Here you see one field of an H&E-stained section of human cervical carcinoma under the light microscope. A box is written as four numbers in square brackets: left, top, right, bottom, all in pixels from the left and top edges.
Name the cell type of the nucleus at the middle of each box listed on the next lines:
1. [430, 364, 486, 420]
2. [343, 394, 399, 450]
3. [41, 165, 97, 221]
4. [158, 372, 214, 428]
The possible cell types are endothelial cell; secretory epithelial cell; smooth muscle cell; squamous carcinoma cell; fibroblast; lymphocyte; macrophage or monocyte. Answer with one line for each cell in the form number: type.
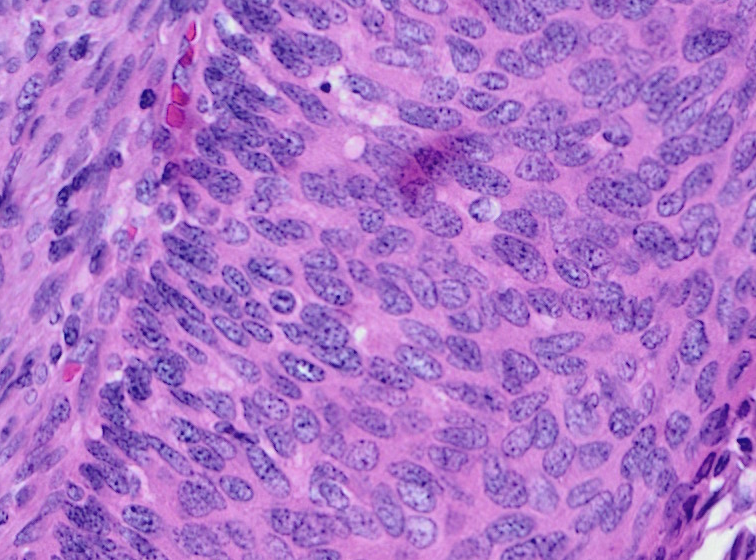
1: squamous carcinoma cell
2: squamous carcinoma cell
3: lymphocyte
4: squamous carcinoma cell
